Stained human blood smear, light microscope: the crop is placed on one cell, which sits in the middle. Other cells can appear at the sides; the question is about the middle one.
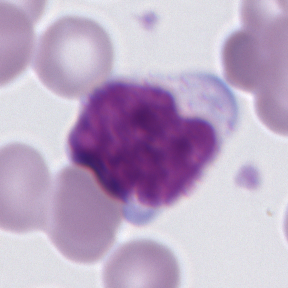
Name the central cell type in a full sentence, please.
The cell in the exact centre of the crop is a large granular lymphocyte.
